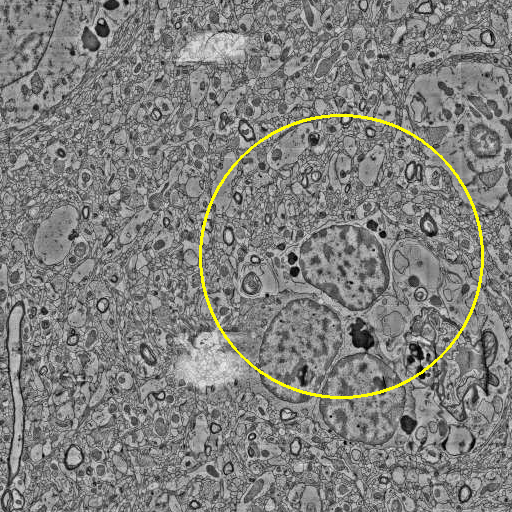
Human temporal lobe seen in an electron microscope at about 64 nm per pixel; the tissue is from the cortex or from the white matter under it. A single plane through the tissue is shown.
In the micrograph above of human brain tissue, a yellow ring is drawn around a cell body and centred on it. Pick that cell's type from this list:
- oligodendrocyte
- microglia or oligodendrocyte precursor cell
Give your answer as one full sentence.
Going by the list, a microglial cell or oligodendrocyte precursor cell is the cell on which the yellow ring is centred.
